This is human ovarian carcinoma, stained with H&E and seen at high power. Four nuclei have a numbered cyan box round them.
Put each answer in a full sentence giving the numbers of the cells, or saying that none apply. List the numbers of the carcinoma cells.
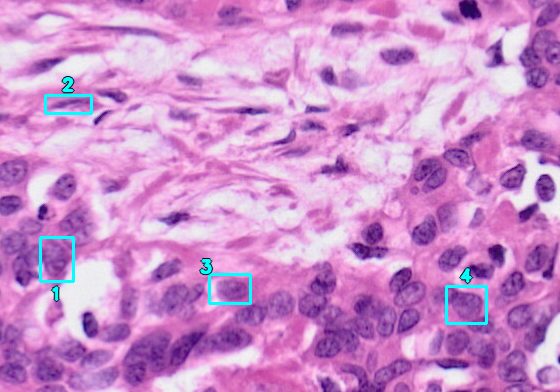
The cells numbered 1, 3 and 4 are of one kind: carcinoma cells.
